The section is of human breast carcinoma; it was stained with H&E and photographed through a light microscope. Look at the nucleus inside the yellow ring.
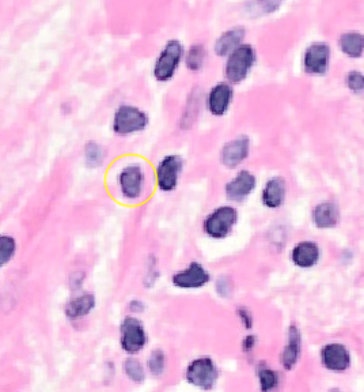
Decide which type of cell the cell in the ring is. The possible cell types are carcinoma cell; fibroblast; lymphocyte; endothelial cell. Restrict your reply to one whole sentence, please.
Labelled by cell type, the cell in the ring is a lymphocyte.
